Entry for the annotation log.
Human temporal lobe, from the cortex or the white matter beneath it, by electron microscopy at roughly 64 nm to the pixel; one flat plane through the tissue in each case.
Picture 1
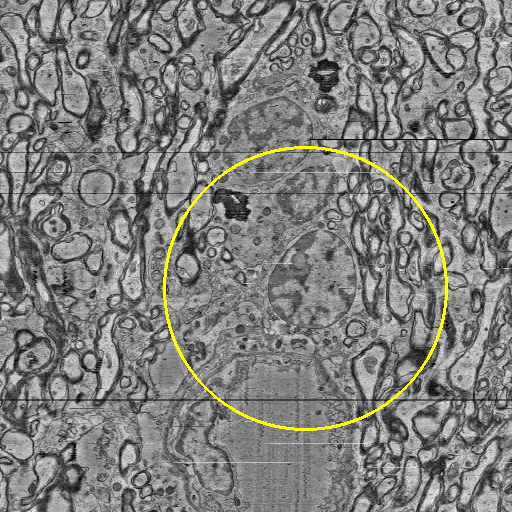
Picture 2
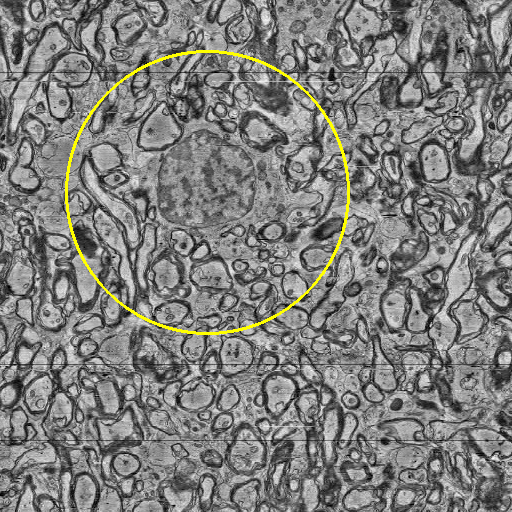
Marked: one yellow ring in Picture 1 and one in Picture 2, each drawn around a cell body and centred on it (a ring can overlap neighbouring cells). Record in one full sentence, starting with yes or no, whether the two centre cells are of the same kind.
No, the two cells are of two kinds.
